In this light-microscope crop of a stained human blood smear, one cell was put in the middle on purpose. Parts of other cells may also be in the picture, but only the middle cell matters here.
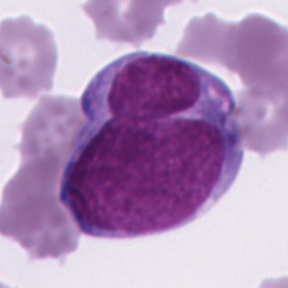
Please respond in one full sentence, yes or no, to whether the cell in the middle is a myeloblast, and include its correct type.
Yes, that is right: the middle cell is a myeloblast.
